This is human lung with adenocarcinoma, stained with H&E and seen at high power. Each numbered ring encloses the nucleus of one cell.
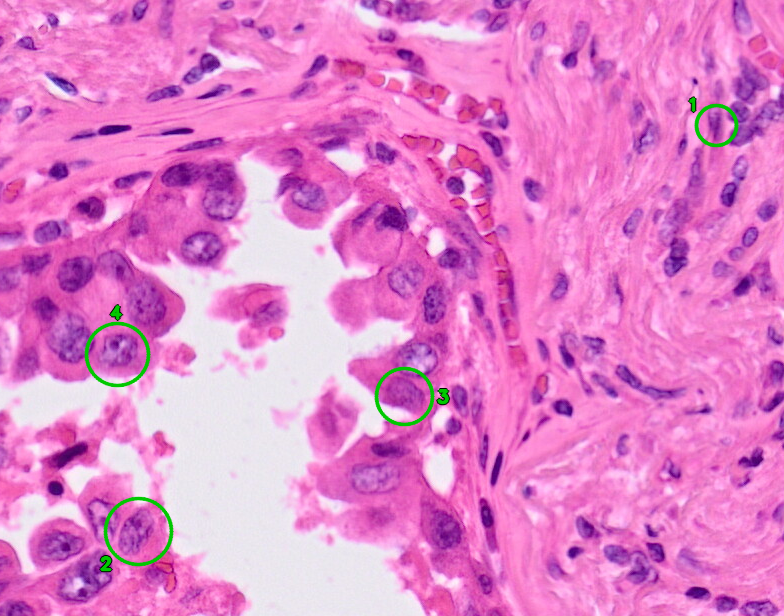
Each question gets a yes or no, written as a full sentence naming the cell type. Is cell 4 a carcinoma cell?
Yes, cell 4 is a carcinoma cell in this tissue section.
